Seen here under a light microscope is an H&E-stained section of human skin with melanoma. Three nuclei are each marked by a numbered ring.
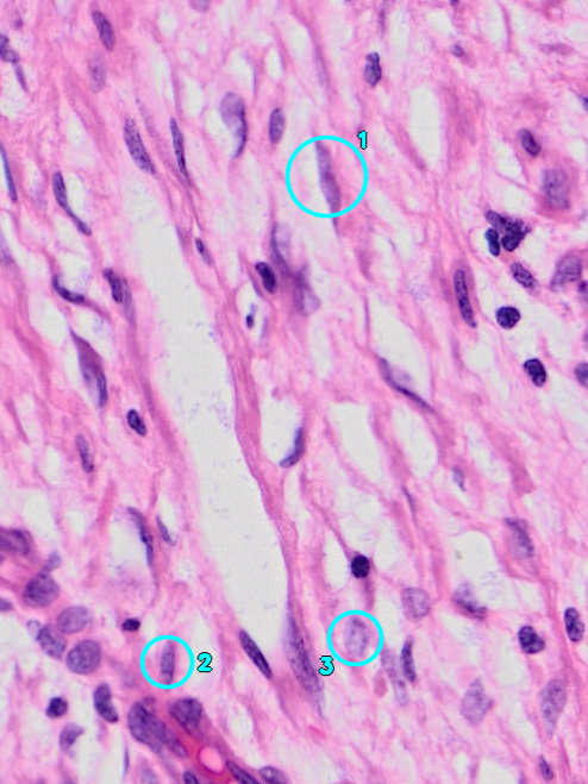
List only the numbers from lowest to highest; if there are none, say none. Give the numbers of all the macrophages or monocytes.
2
